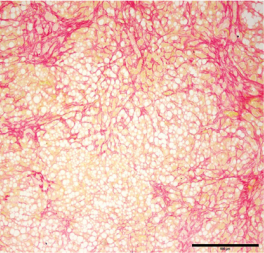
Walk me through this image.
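This low-power view of liver shows pale yellow parenchyma laced with a fine network of thin red fibres. The fibres run between the cells in a delicate mesh rather than forming broad bands. Somewhat denser red strands appear in places, mostly near the edges of the field. Large areas of parenchyma remain only lightly crossed by red.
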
